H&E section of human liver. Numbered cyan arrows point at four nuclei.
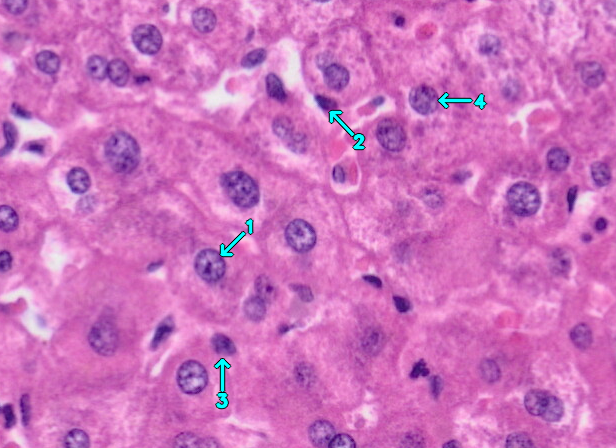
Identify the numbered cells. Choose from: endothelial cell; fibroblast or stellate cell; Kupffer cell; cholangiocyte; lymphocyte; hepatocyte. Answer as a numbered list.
1. hepatocyte
2. fibroblast or stellate cell
3. endothelial cell
4. hepatocyte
